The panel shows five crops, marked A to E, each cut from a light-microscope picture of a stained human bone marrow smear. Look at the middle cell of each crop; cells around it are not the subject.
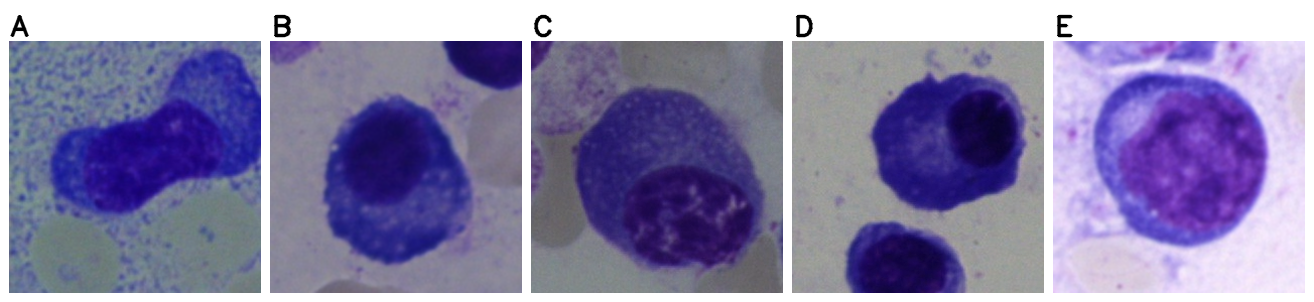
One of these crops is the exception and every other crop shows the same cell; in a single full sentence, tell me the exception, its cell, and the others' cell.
Although the other crops all show plasma cells, crop E shows a proerythroblast.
